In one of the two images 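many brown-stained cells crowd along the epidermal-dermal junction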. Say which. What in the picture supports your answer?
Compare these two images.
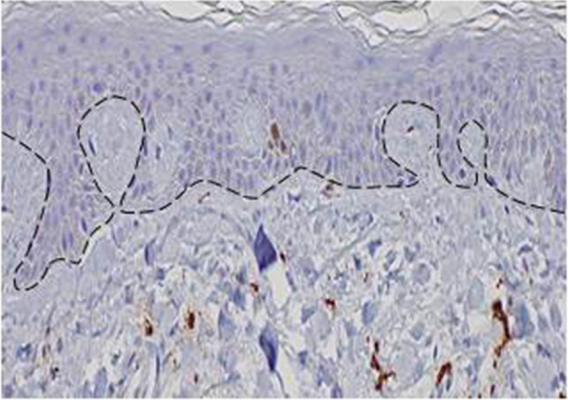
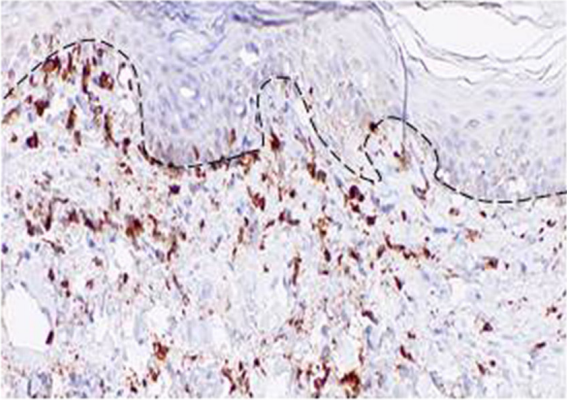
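First image: only a few brown cells, mostly deep in the dermis, and the junction is nearly free of them. Second image: dense brown cells line the junction and fill the upper dermis. The answer: the second image.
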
